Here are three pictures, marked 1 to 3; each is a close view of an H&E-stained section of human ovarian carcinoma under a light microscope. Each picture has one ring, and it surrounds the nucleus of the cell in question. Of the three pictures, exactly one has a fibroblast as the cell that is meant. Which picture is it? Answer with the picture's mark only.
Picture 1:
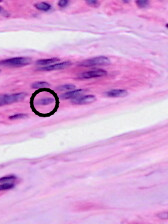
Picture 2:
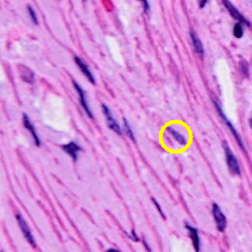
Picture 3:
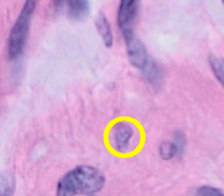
2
